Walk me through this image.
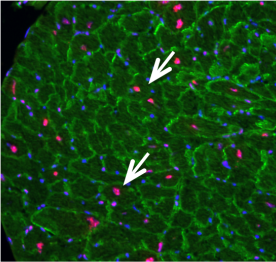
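This is heart muscle with cardiomyocytes in cross and oblique section. Thin green outlines mark the borders of the closely packed polygonal cells, forming a regular network. Scattered nuclei are stained red to pink, lying within the muscle cells, while other small nuclei appear blue only. The cytoplasm of the cells is faintly green and otherwise unstained. The cells are fairly even in size and the tissue is compact.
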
